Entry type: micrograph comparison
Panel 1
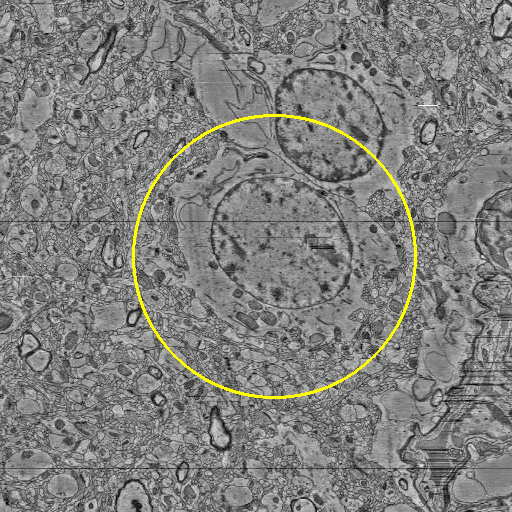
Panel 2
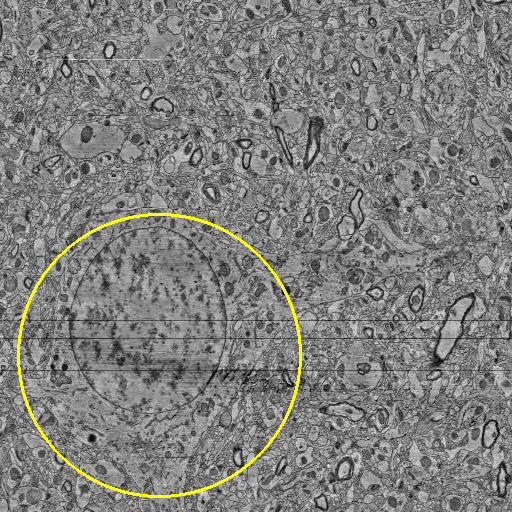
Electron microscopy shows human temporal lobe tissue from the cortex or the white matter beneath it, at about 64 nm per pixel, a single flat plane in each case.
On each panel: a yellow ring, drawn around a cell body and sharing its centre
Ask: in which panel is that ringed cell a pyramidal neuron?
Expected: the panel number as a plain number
2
